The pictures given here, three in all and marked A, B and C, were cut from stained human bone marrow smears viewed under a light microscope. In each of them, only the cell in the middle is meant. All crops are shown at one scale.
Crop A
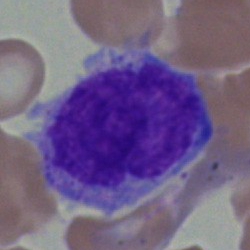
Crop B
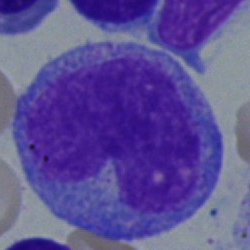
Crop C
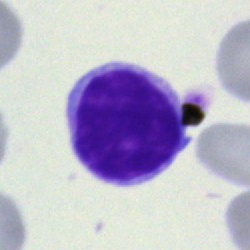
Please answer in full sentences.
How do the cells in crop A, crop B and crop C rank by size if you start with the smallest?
Smallest first: C, A, B.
